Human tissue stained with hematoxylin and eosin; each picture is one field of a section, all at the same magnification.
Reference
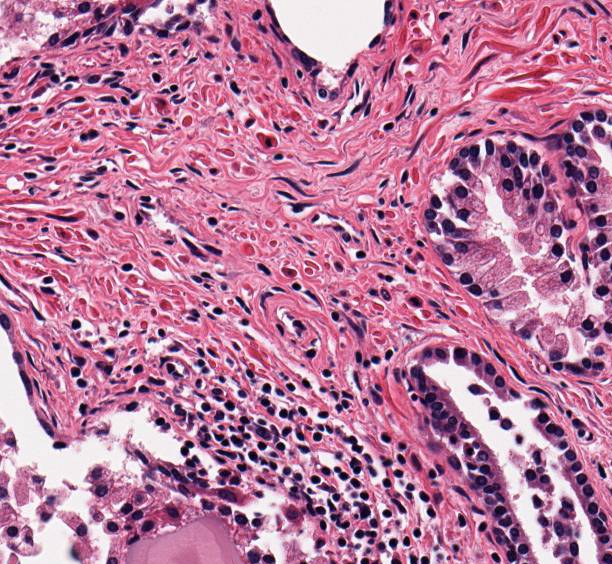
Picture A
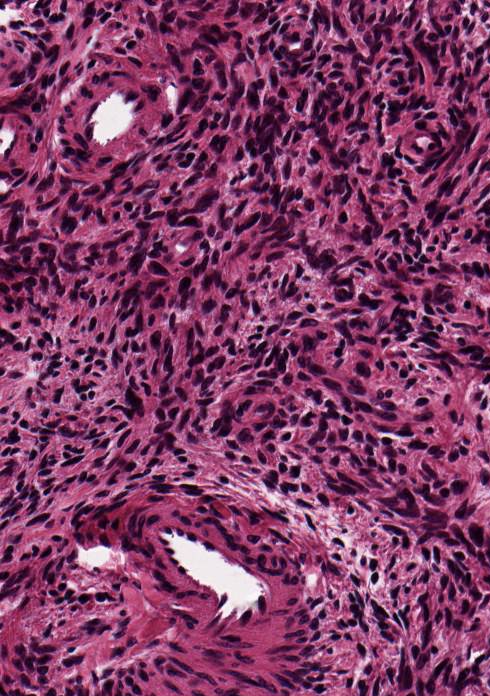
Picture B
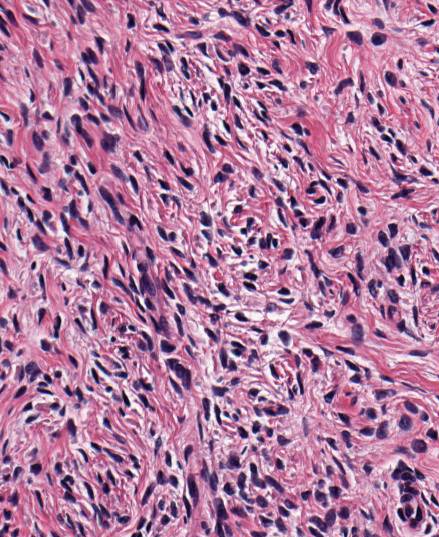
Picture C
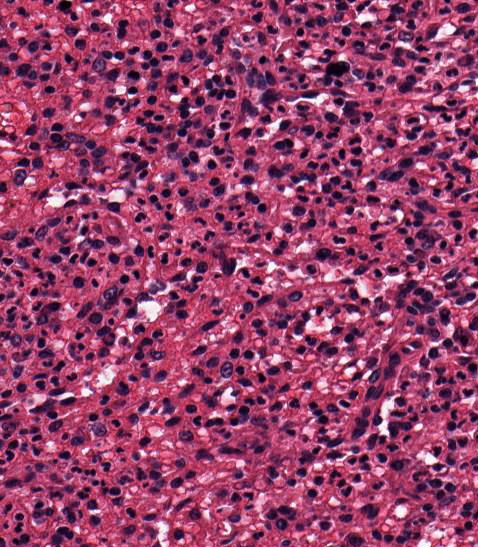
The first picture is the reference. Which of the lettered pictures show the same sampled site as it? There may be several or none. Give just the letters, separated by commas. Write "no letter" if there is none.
no letter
